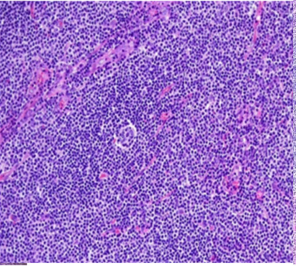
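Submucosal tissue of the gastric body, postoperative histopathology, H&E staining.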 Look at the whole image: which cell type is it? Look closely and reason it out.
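Small lymphocytes. Sheets of small cells with round, dark nuclei and scant cytoplasm. The cells are of fairly uniform size. Small vessels with pink walls run between them.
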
